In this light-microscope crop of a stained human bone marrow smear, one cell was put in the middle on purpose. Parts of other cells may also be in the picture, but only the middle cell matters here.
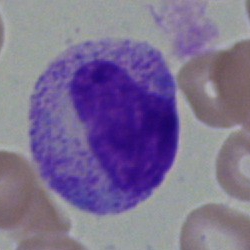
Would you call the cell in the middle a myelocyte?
yes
